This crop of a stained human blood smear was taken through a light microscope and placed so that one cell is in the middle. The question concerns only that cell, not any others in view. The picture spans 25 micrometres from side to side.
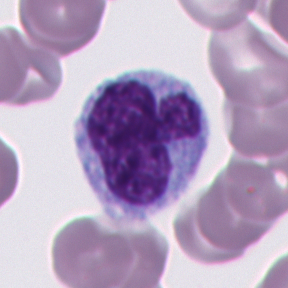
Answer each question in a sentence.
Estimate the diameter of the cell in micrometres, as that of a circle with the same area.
Taken as a circle, the cell has a diameter of about 12 micrometres.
